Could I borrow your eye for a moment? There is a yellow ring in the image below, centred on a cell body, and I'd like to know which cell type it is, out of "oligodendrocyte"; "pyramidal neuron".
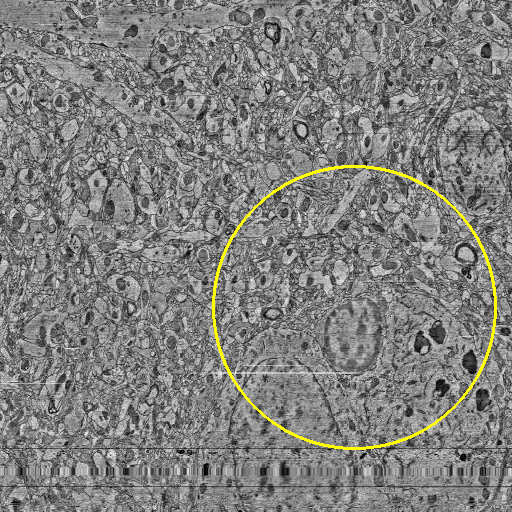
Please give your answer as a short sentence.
The cell body at the centre is that of an oligodendrocyte.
